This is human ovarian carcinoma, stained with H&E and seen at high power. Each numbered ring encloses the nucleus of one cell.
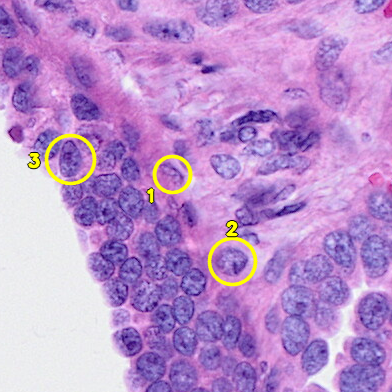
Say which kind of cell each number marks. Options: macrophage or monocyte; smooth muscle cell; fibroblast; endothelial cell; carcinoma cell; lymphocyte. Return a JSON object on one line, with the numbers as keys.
{"1": "fibroblast", "2": "fibroblast", "3": "carcinoma cell"}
